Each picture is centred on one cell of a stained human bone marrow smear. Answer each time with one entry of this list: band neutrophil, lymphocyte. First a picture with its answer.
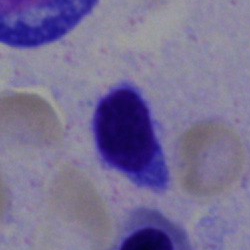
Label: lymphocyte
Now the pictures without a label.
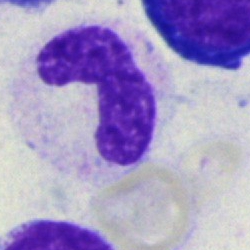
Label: band neutrophil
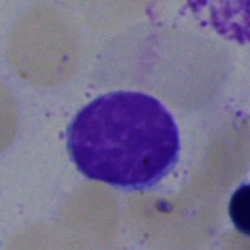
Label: lymphocyte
